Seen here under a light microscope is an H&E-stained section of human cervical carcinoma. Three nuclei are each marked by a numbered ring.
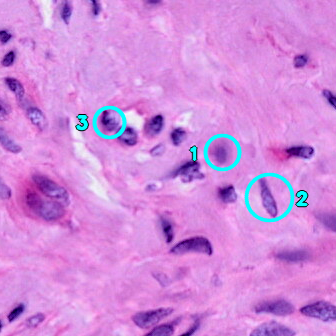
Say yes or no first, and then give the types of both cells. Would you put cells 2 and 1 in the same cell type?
Yes, each of the two cells, 2 and 1, is among the fibroblasts.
